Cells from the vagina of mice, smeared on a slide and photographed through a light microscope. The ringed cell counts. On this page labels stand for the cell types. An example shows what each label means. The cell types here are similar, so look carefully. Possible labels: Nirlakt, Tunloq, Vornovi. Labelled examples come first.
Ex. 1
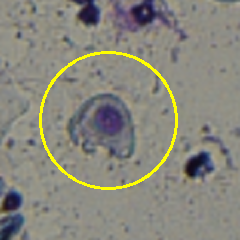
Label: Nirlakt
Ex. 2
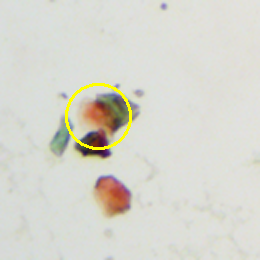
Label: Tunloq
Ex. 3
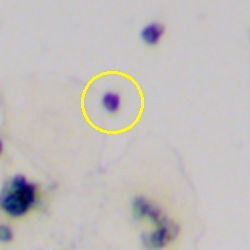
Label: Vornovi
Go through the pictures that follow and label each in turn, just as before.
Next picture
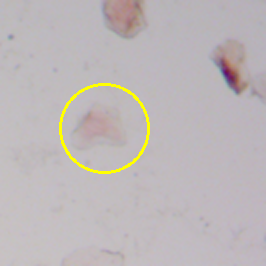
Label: Tunloq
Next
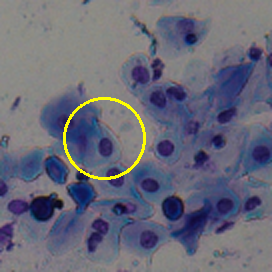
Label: Nirlakt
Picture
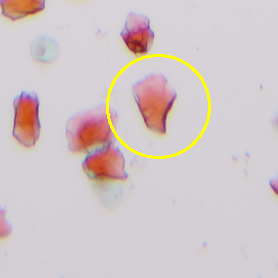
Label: Tunloq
